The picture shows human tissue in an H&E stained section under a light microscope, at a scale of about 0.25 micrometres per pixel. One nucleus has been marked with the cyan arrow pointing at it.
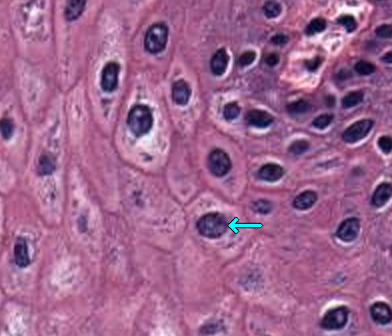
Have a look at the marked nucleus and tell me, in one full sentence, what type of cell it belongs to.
The nucleus picked out by the mark is that of a squamous epithelial cell.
